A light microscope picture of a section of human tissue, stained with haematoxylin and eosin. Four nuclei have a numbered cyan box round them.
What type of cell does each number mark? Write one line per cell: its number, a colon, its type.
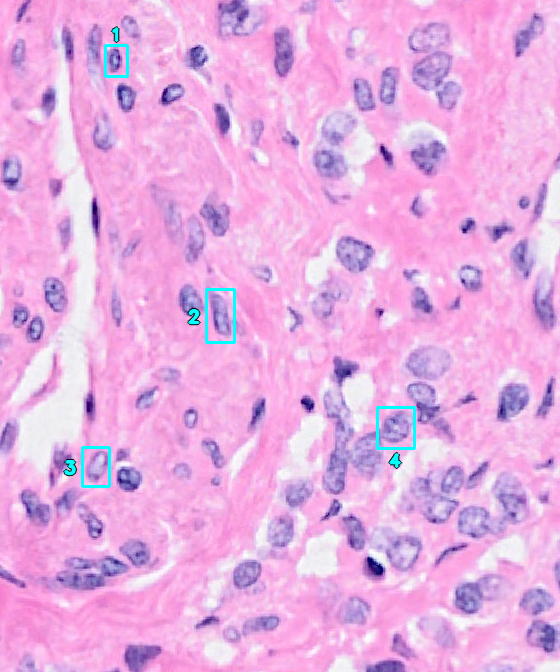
1: endothelial cell
2: endothelial cell
3: endothelial cell
4: carcinoma cell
